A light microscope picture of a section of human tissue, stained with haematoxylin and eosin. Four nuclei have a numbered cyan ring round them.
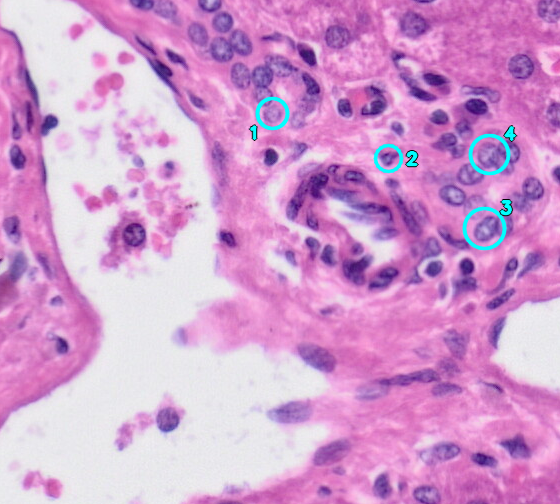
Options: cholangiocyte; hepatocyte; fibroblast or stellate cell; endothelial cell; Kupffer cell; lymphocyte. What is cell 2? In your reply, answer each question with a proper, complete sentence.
In the marked set, the cell given number 2 is a fibroblast or stellate cell.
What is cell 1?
The numbered cell 1 is identified here as a cholangiocyte.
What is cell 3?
The cell that carries the label 3 is a cholangiocyte.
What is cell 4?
The cell that is numbered 4 is a cholangiocyte.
